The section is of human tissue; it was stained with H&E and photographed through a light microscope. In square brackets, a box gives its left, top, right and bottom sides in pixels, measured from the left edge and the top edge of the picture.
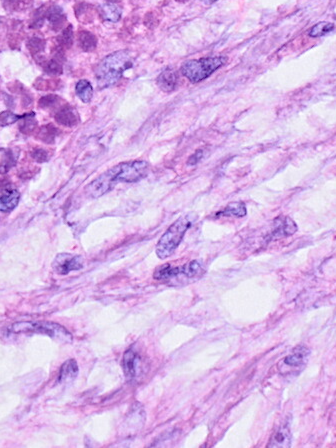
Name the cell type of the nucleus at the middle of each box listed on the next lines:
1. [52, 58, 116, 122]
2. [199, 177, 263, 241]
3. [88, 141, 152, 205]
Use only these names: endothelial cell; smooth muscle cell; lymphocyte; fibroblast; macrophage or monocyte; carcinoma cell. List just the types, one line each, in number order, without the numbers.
macrophage or monocyte
fibroblast
fibroblast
